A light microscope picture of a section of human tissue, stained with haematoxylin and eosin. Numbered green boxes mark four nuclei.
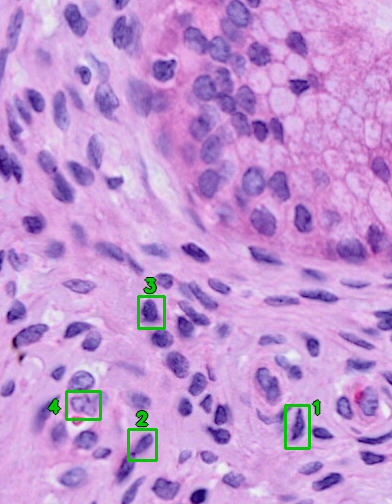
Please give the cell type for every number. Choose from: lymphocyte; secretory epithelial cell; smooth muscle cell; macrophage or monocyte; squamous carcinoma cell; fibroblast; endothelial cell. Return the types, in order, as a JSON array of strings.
["fibroblast", "fibroblast", "fibroblast", "endothelial cell"]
